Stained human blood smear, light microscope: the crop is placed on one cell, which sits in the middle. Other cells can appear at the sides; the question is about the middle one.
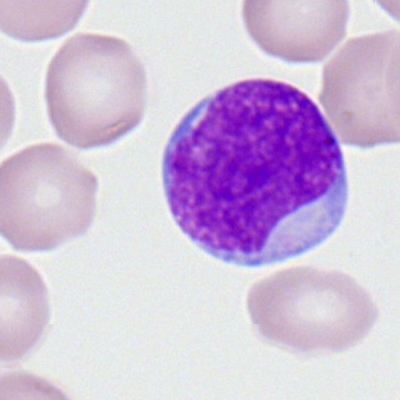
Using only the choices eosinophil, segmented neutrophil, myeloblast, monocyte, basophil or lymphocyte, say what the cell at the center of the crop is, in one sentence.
For this crop, the cell in the middle is a myeloblast.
